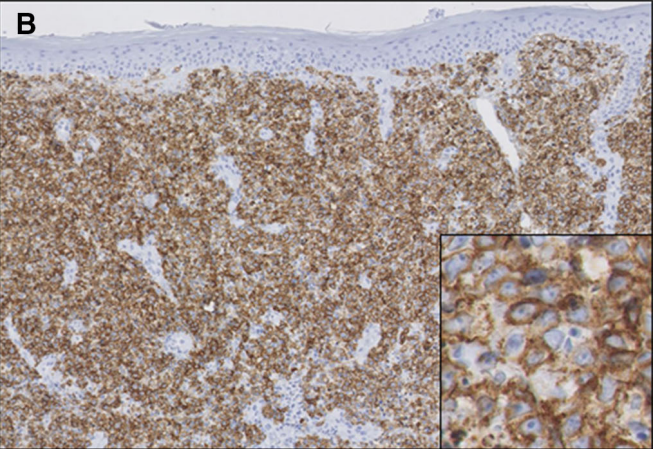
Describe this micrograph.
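The overlying epidermis is pale blue and unstained, and the brown-stained cells extend up to just beneath it. Unstained vessels and thin strands of stroma cross the brown sheet as pale channels. In the inset the brown stain outlines the cell membranes, surrounding large pale blue nuclei.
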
